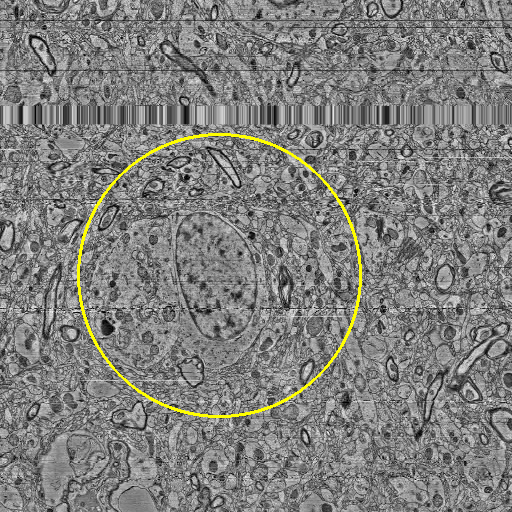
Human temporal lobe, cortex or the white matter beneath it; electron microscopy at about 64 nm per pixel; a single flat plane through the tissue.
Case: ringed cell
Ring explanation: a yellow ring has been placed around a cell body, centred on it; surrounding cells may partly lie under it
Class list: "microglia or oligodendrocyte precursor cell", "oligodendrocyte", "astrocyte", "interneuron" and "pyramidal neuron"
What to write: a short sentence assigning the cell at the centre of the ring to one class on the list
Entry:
The cell at the ring's centre is a microglial cell or oligodendrocyte precursor cell.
